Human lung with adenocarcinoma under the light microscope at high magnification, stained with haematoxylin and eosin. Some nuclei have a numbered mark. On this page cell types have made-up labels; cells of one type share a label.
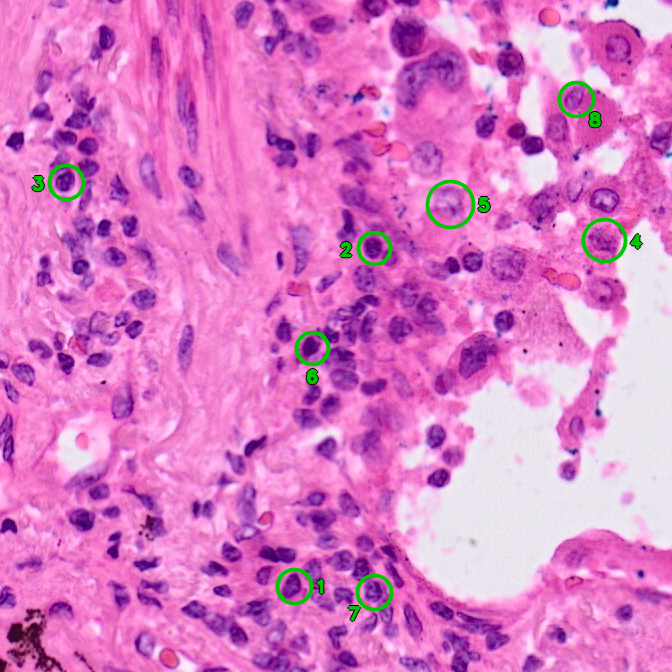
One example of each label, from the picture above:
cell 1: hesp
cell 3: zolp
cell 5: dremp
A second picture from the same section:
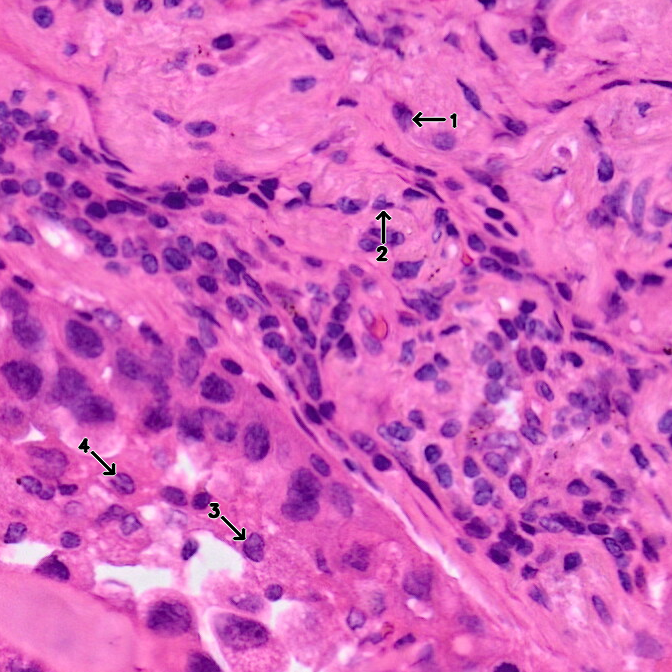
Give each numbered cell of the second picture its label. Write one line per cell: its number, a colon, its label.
1: hesp
2: zolp
3: dremp
4: dremp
